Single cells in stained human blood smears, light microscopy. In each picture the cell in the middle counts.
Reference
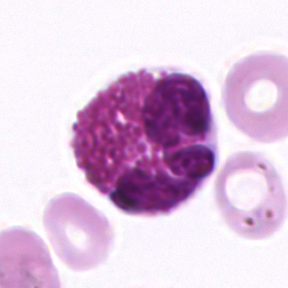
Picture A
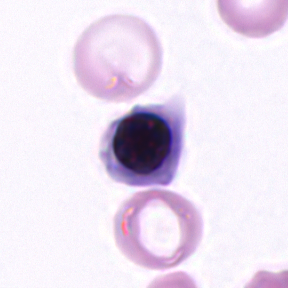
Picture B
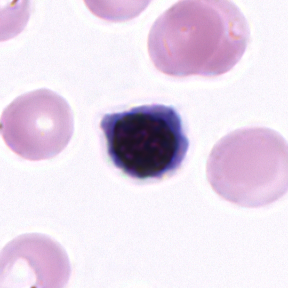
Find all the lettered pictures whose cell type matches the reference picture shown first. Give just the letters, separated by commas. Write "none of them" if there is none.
none of them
